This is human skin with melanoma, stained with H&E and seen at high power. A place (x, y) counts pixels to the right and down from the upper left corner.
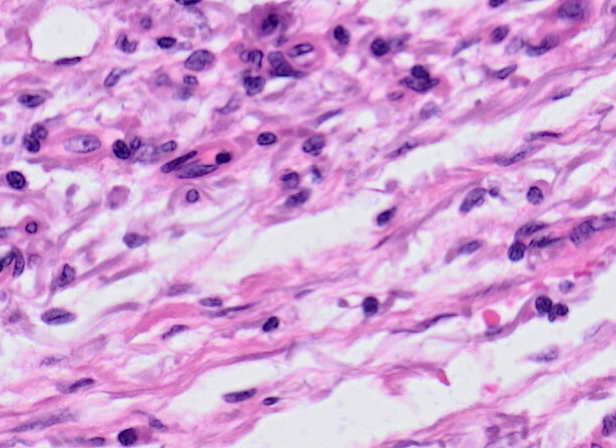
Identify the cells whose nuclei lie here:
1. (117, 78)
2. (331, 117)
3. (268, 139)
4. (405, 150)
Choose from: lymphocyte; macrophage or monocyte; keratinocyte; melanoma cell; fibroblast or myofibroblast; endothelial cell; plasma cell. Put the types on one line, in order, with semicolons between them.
fibroblast or myofibroblast; fibroblast or myofibroblast; plasma cell; fibroblast or myofibroblast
